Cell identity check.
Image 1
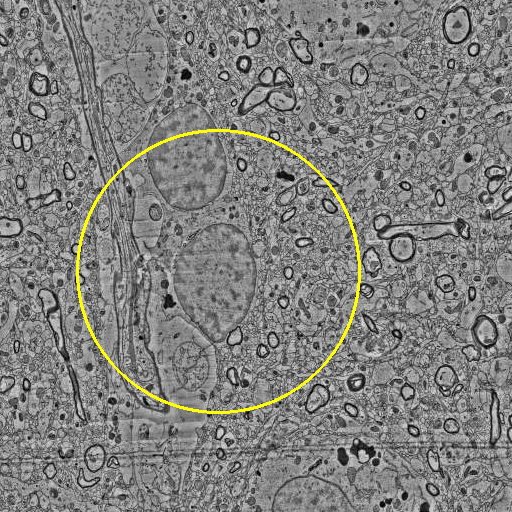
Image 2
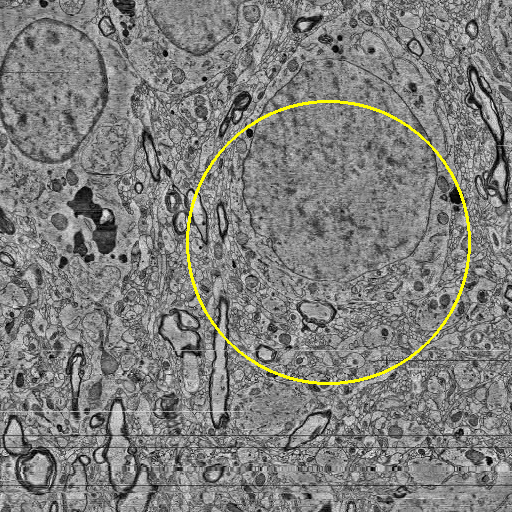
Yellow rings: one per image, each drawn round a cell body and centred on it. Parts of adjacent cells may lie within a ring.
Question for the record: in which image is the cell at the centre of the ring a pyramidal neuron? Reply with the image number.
2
